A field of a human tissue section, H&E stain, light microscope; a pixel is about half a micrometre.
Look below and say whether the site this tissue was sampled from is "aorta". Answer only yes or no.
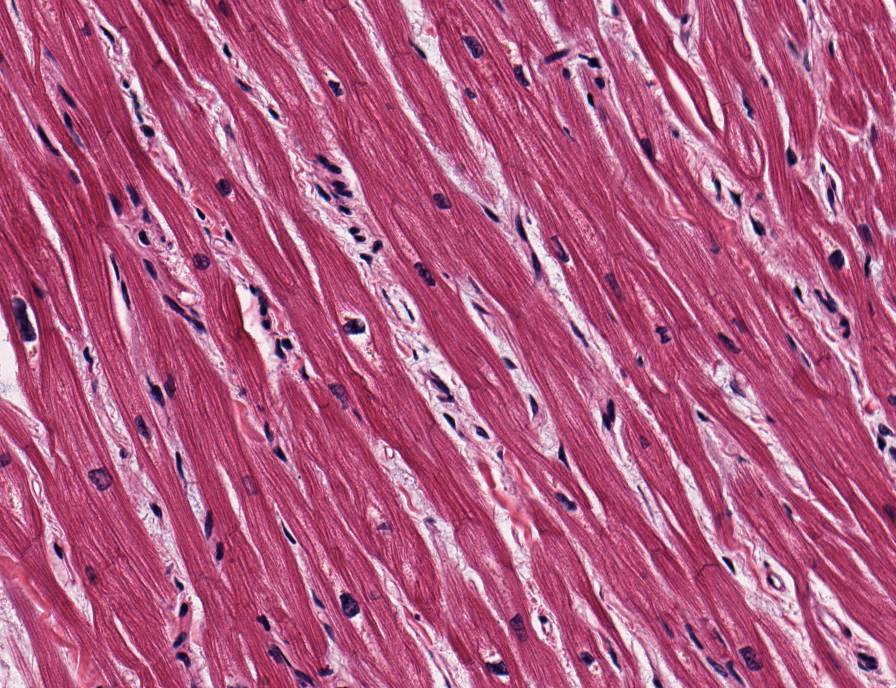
no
